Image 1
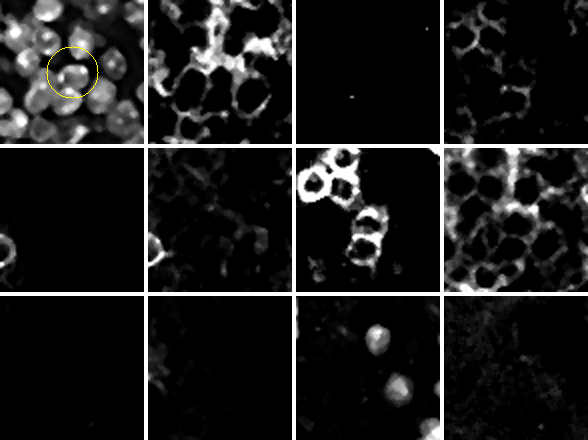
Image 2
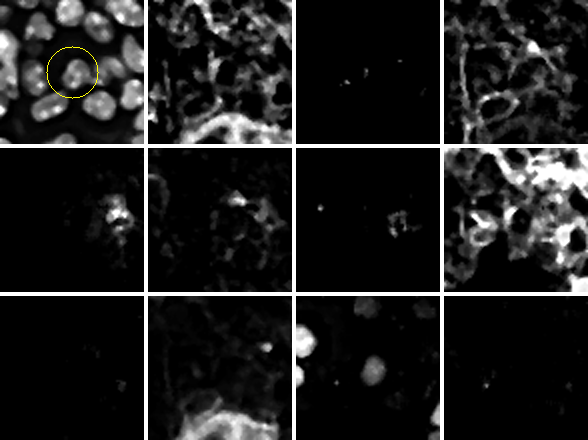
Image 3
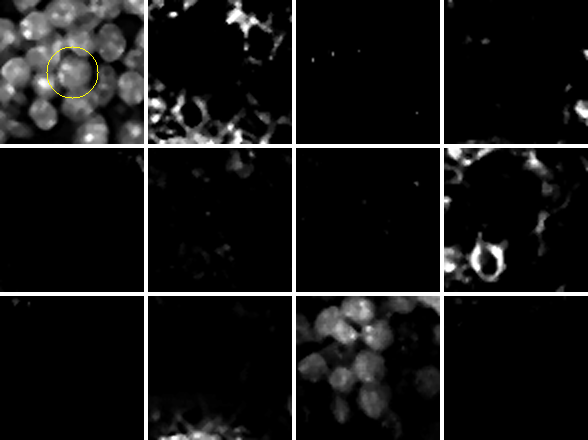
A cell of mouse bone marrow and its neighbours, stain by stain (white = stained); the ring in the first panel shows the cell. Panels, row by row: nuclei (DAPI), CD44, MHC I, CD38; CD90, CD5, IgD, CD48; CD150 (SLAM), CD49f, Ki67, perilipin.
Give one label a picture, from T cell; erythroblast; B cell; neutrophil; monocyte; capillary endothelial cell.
(1) B cell
(2) capillary endothelial cell
(3) erythroblast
